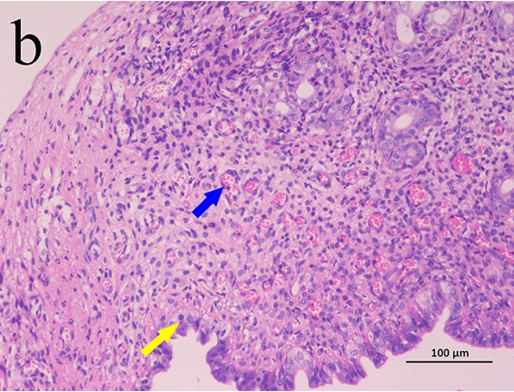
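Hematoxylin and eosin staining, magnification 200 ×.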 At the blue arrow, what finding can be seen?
heavily congested and dilated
